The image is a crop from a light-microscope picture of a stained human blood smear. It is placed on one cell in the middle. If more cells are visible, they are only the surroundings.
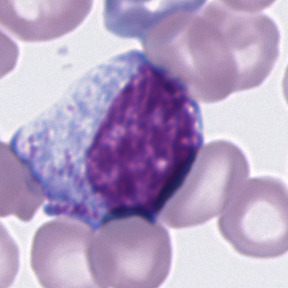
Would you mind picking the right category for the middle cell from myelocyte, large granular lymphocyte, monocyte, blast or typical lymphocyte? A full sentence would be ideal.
The central cell, amid any neighbouring cells, is a myelocyte.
